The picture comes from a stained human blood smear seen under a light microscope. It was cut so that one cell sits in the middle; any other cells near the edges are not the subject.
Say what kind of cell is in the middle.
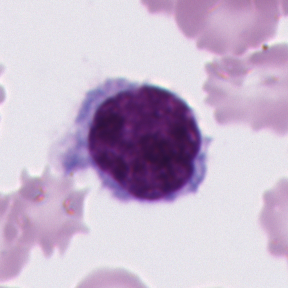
hairy cell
